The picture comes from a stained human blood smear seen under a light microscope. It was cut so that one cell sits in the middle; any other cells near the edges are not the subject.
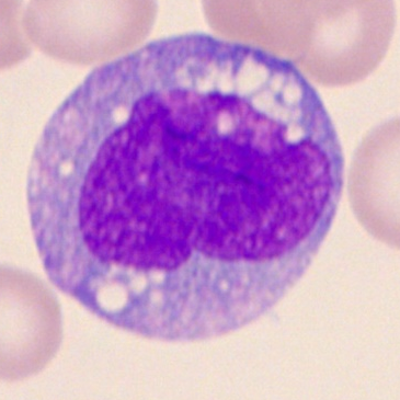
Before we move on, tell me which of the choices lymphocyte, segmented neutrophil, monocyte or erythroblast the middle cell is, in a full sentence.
Looking at the middle of the crop, the cell there is a monocyte.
